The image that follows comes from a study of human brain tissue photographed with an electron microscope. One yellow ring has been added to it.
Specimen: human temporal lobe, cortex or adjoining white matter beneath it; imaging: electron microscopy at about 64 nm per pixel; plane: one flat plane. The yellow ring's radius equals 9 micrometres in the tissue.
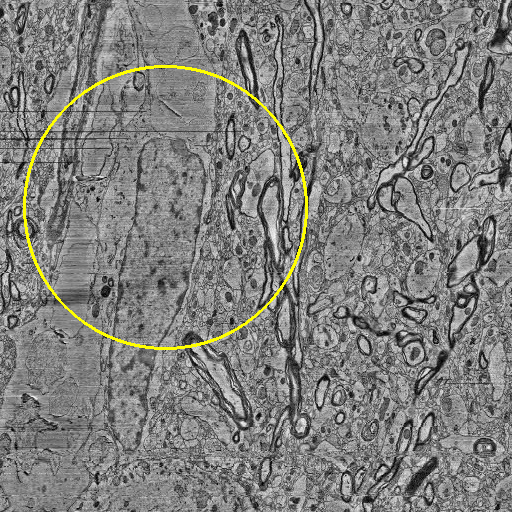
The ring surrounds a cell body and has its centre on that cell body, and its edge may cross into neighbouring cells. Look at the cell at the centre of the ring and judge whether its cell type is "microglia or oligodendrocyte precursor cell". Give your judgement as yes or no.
yes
